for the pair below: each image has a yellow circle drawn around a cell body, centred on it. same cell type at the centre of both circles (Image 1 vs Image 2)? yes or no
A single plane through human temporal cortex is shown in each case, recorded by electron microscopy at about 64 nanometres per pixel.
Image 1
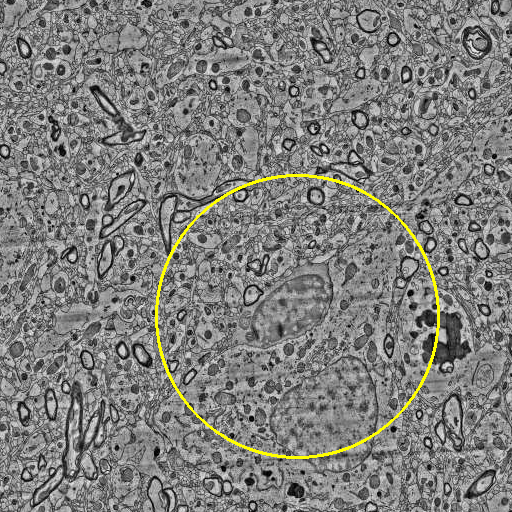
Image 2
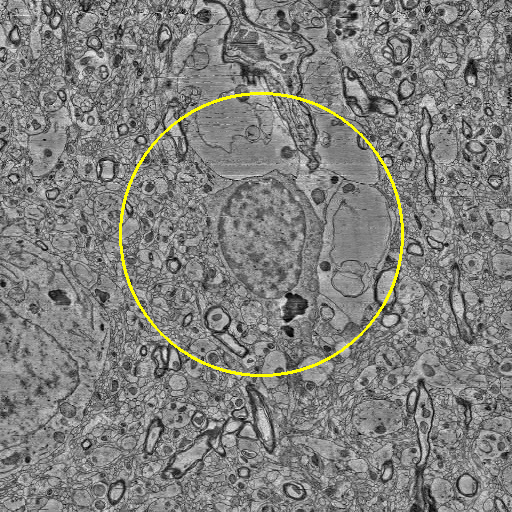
yes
